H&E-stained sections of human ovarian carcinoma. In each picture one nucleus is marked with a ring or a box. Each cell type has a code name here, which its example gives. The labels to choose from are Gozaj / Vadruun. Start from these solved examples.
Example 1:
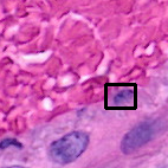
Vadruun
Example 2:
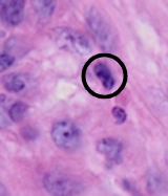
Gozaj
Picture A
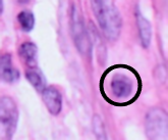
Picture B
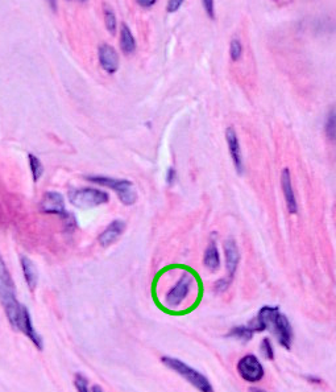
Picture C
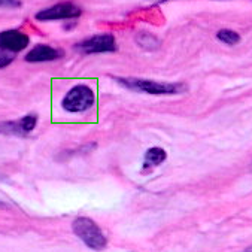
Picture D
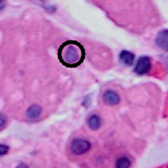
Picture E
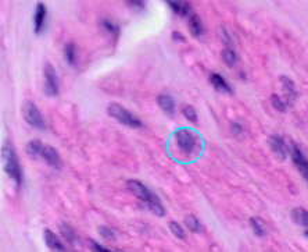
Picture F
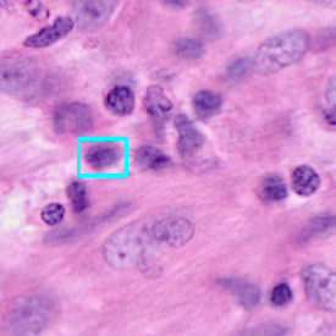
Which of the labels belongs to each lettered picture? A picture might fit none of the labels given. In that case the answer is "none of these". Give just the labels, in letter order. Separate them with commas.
Gozaj, none of these, Gozaj, none of these, none of these, Gozaj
